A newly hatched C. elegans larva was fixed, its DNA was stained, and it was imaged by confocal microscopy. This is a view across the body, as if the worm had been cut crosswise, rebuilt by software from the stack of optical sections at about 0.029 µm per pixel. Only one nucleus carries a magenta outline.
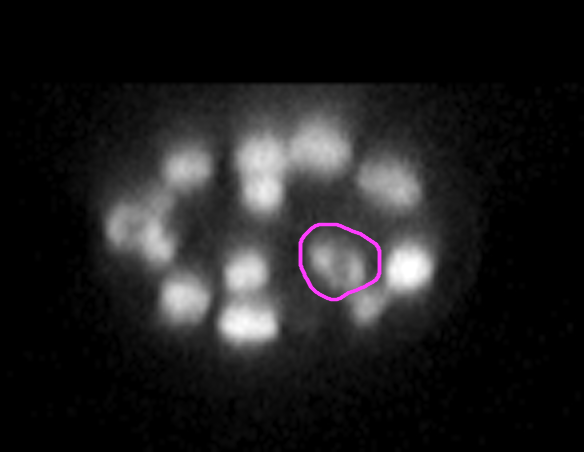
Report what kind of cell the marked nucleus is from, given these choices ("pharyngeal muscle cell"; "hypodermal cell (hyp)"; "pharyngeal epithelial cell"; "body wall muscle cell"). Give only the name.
pharyngeal muscle cell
